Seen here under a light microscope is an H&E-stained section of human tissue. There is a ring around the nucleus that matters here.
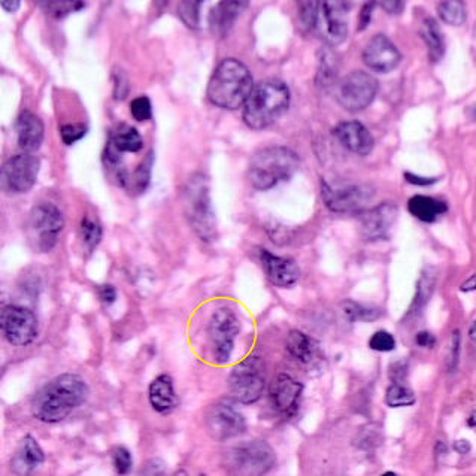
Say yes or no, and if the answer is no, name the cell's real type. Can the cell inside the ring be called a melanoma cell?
Yes.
